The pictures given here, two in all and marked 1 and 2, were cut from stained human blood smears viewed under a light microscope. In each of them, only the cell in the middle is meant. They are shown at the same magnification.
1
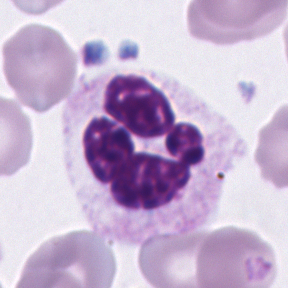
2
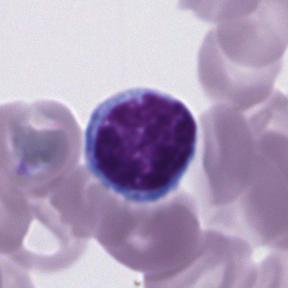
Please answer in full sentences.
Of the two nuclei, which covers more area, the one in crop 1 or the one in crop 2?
Larger is the nucleus in crop 1, at roughly 1.5 times the area of the other.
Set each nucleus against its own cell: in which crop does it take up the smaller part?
Of the two, the nucleus in crop 1 leaves more room for cytoplasm.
